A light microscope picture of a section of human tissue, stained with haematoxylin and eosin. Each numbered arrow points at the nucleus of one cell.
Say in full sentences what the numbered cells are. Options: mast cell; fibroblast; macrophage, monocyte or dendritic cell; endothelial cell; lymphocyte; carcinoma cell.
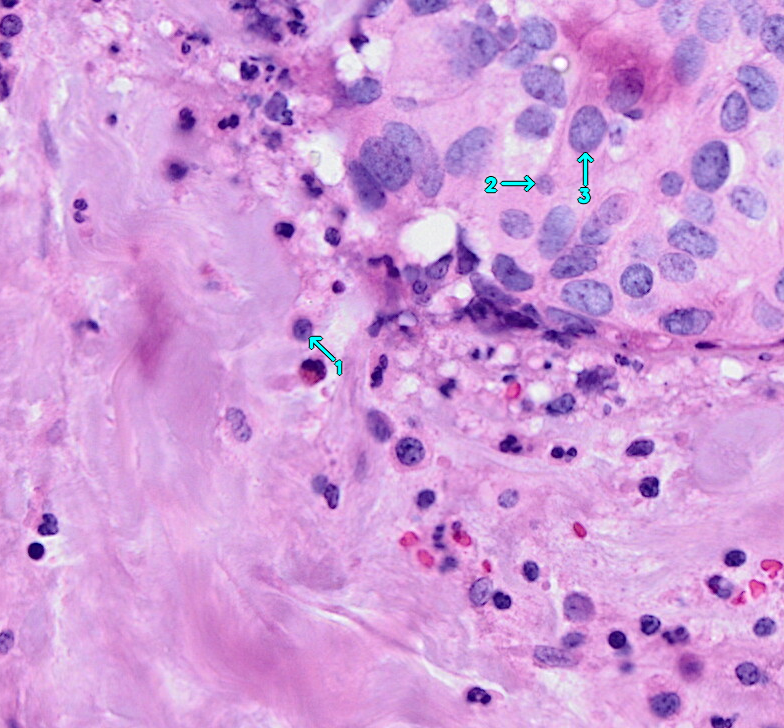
Cell 1 is a mast cell. Cells 2 and 3 are carcinoma cells.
